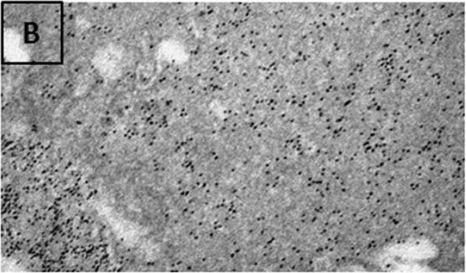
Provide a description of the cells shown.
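In places, especially toward the lower left, the particles gather more thickly into darker patches. Several small pale, empty-looking spaces and vesicle-like profiles lie within the cytoplasm near the top and edges of the field.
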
